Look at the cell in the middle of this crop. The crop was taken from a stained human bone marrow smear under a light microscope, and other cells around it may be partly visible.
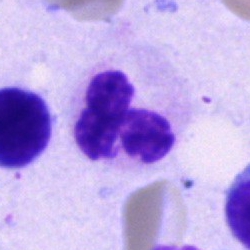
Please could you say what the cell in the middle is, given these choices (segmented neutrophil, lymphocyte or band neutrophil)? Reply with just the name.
segmented neutrophil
